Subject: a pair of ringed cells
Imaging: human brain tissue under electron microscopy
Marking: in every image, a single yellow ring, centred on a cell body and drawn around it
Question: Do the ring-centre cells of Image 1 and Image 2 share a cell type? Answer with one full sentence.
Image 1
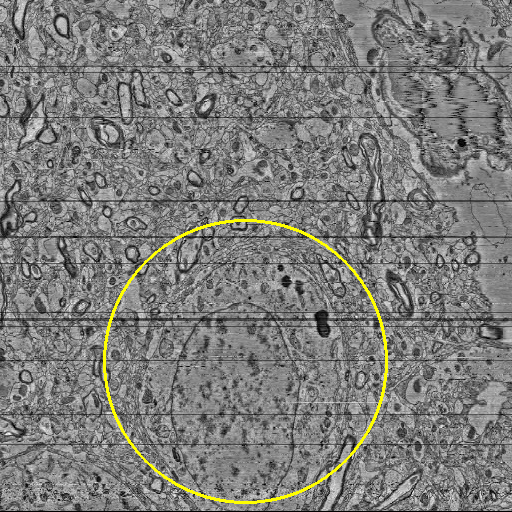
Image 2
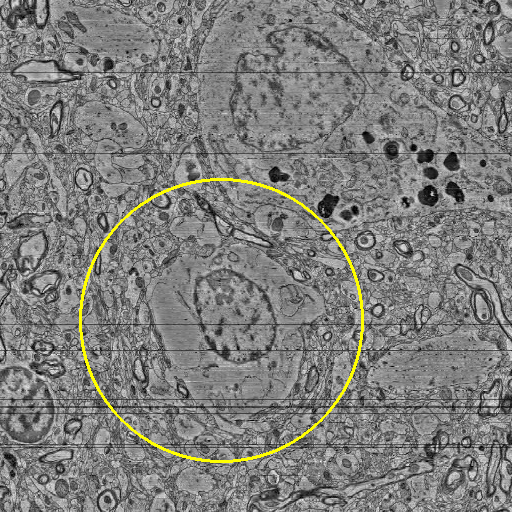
No, at the ring centres in the images sit cells of two separate types.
